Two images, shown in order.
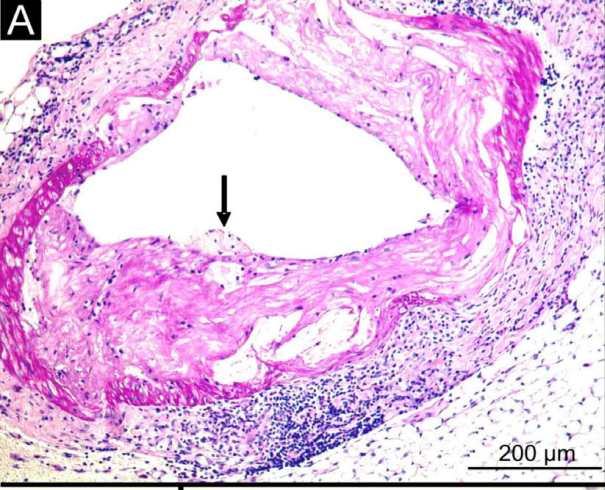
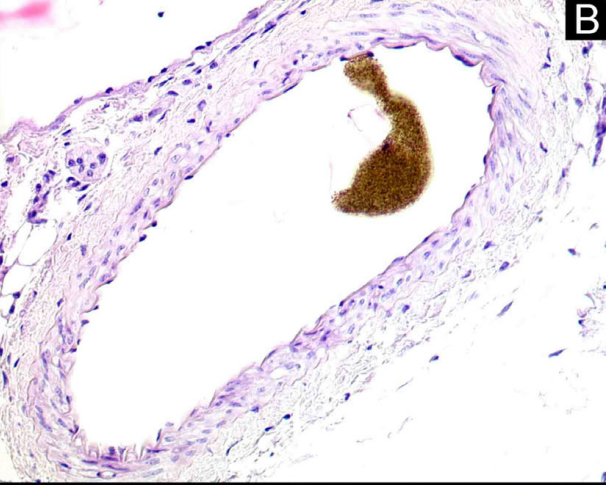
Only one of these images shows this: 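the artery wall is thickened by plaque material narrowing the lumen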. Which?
the first image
